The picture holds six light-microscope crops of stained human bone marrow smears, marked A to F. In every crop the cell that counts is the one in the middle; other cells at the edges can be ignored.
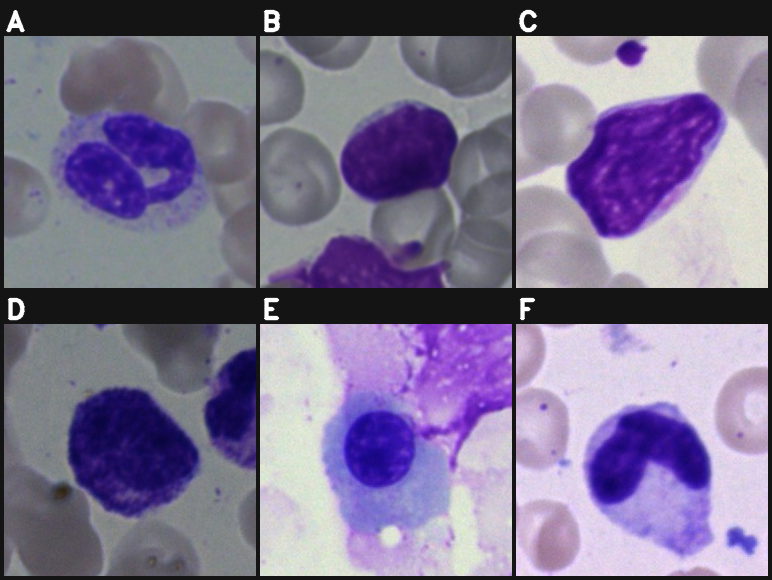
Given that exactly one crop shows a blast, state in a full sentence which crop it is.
Crop C is the one depicting a blast.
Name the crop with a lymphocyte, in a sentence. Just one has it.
Of the cells presented, the one in crop B is a lymphocyte.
